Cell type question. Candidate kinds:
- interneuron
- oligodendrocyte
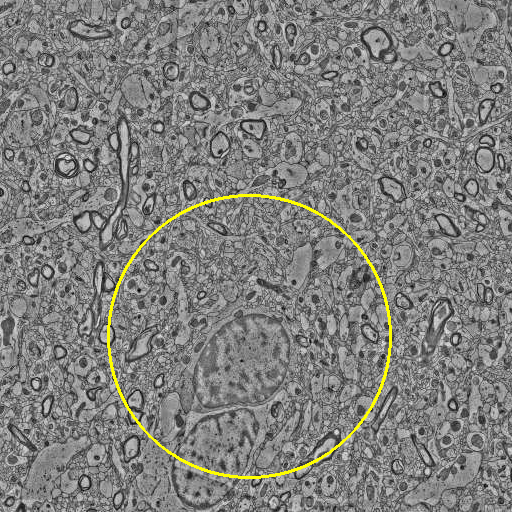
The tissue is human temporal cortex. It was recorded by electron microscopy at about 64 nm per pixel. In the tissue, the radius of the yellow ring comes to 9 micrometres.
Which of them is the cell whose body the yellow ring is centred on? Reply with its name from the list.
oligodendrocyte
